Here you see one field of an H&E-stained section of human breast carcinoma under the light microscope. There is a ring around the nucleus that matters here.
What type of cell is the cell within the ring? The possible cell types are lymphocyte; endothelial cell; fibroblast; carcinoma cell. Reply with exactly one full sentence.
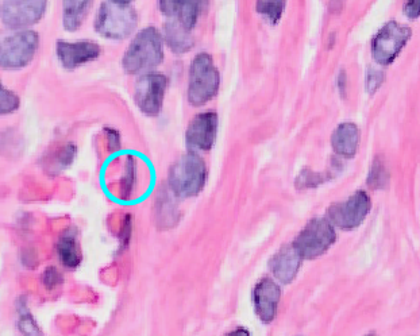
So far as cell type goes, the cell within the ring is an endothelial cell.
